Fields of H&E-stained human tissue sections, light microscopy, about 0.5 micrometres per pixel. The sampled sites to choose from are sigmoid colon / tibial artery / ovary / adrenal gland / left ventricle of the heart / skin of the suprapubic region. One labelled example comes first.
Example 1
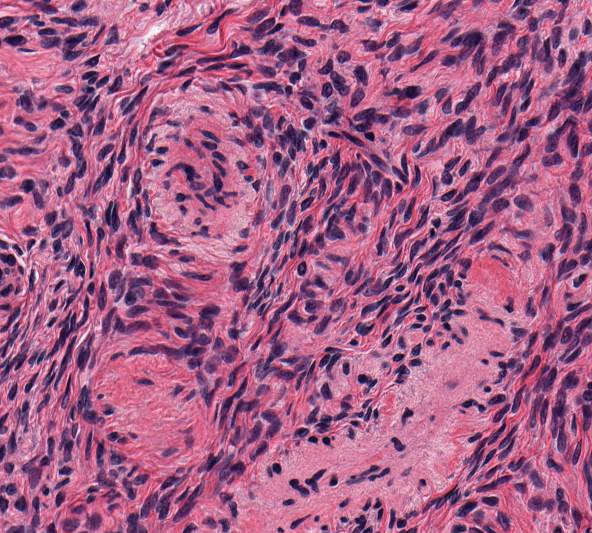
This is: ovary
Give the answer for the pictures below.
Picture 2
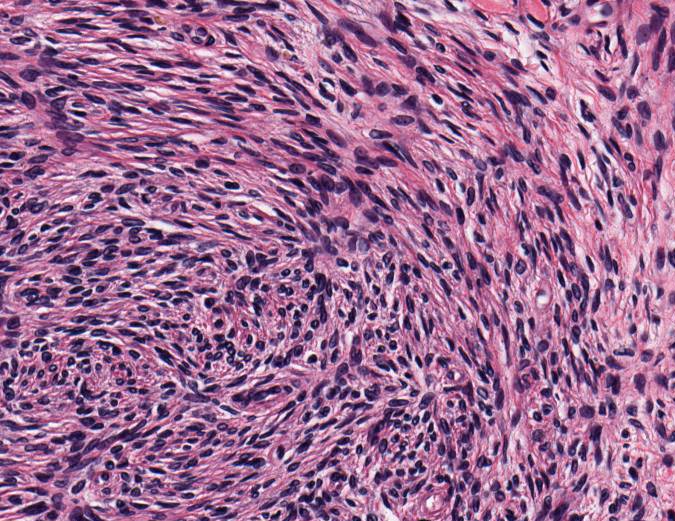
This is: ovary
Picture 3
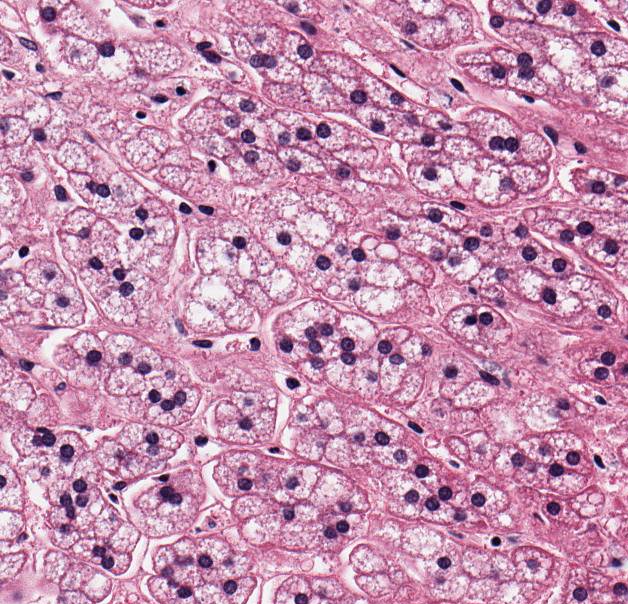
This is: adrenal gland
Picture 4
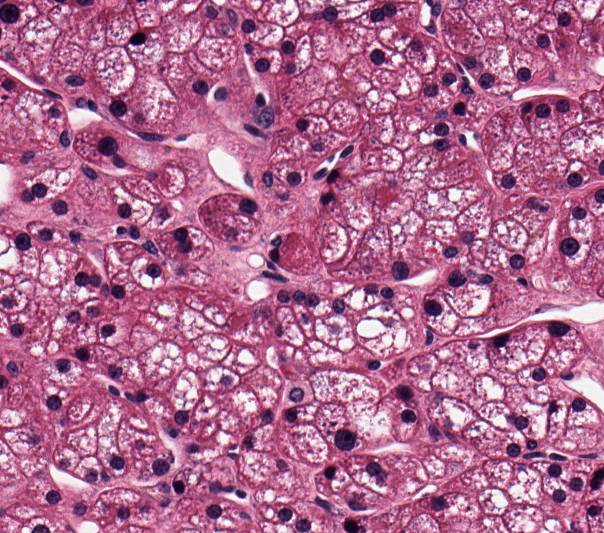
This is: adrenal gland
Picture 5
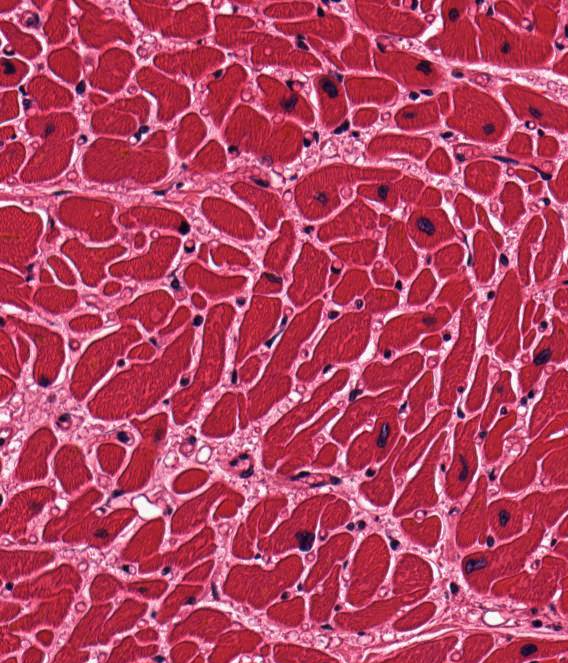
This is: left ventricle of the heart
